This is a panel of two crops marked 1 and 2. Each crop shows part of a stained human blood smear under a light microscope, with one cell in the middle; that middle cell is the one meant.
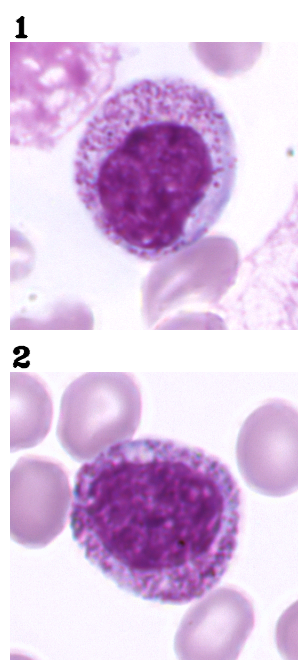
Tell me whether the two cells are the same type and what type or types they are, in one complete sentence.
No, it is a metamyelocyte in crop 1 and a myelocyte in crop 2.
